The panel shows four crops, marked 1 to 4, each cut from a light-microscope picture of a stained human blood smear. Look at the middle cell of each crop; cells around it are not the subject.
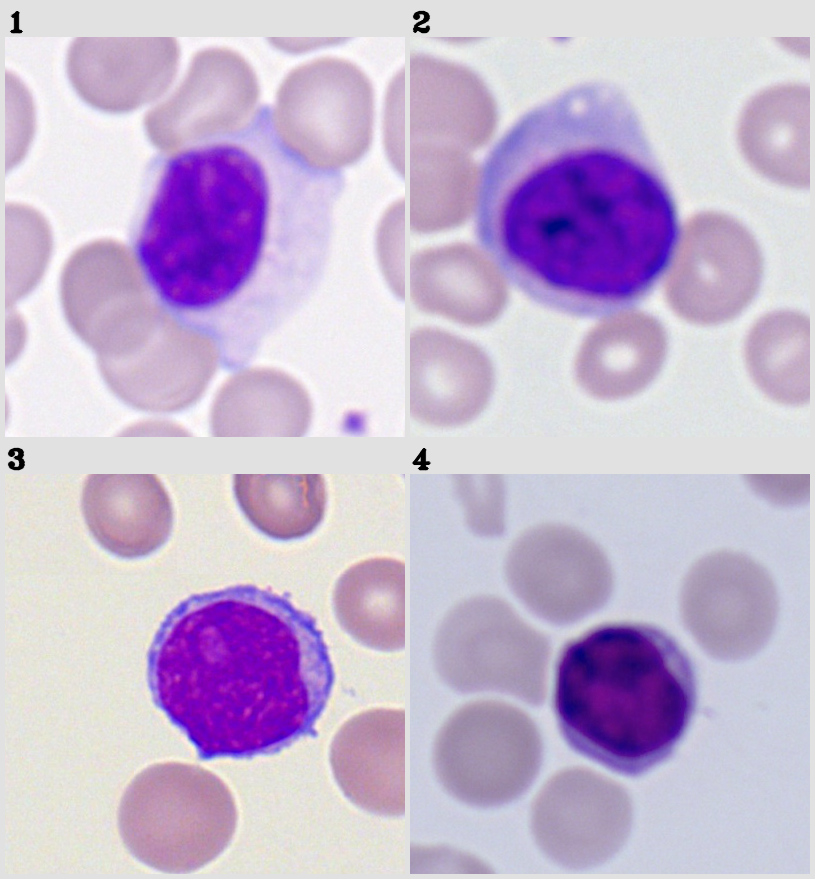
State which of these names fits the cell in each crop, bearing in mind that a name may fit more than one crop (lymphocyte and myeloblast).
1: lymphocyte
2: lymphocyte
3: myeloblast
4: lymphocyte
